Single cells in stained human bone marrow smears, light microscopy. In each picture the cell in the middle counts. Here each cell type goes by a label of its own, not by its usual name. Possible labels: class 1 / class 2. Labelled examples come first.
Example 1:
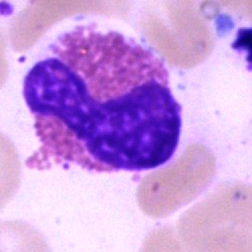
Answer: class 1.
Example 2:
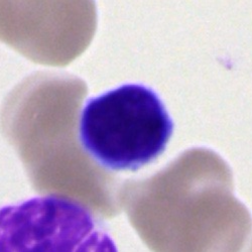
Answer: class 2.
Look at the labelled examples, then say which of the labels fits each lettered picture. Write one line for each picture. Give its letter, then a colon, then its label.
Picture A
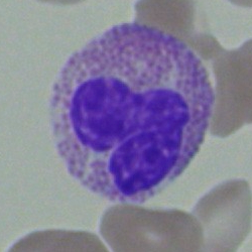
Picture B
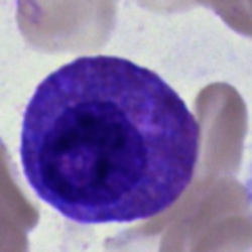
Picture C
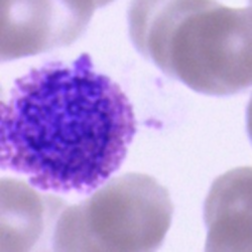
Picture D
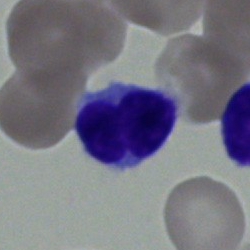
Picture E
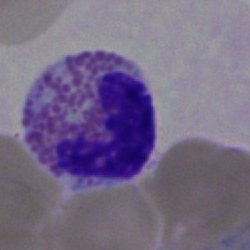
A: class 1.
B: class 1.
C: class 1.
D: class 2.
E: class 1.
